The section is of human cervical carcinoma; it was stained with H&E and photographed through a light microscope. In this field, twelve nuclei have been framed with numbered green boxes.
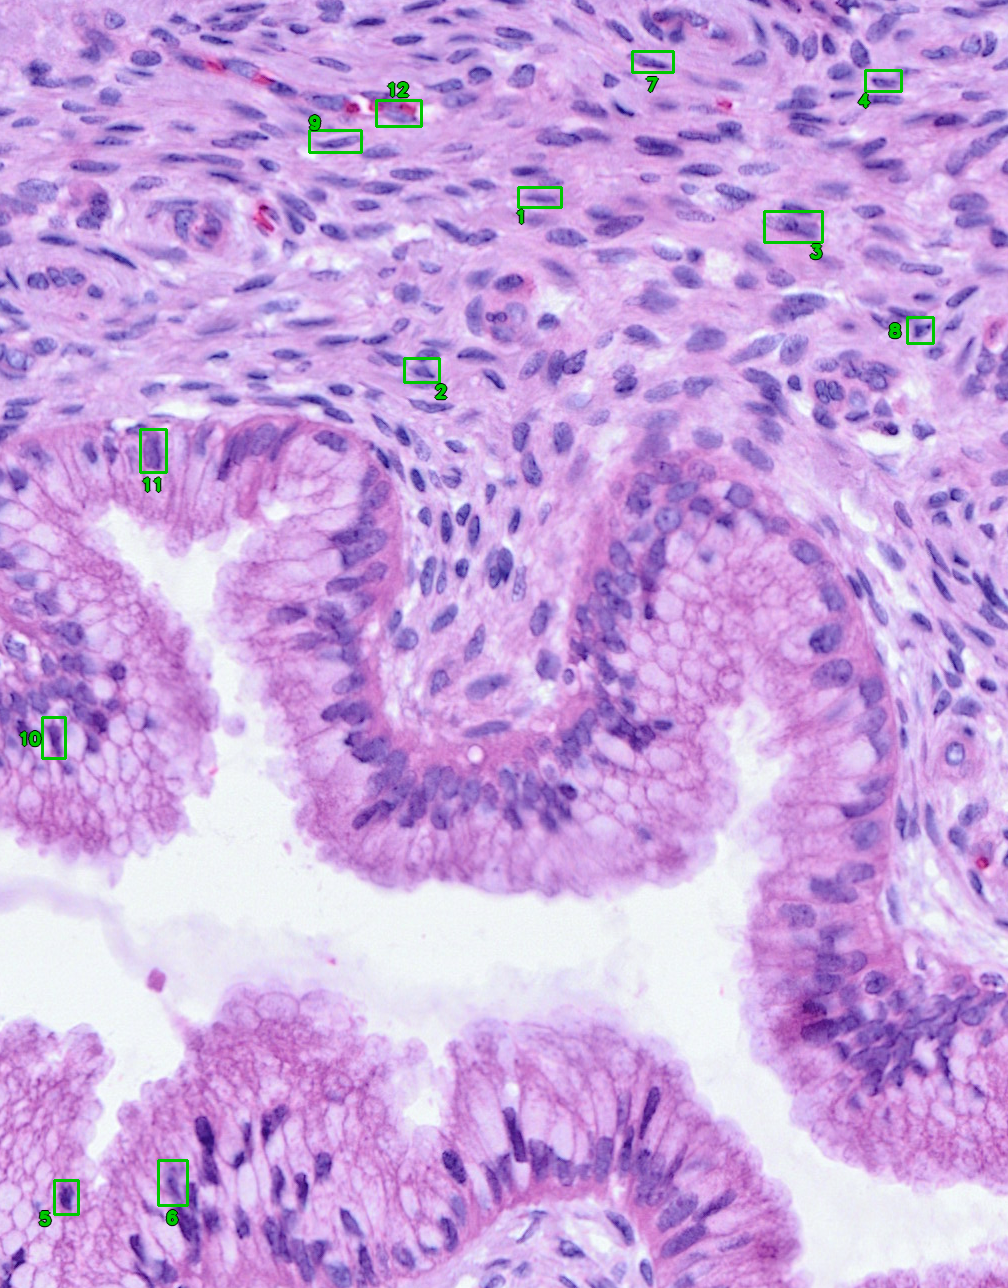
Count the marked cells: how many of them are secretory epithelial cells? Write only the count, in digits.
4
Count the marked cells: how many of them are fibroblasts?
7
